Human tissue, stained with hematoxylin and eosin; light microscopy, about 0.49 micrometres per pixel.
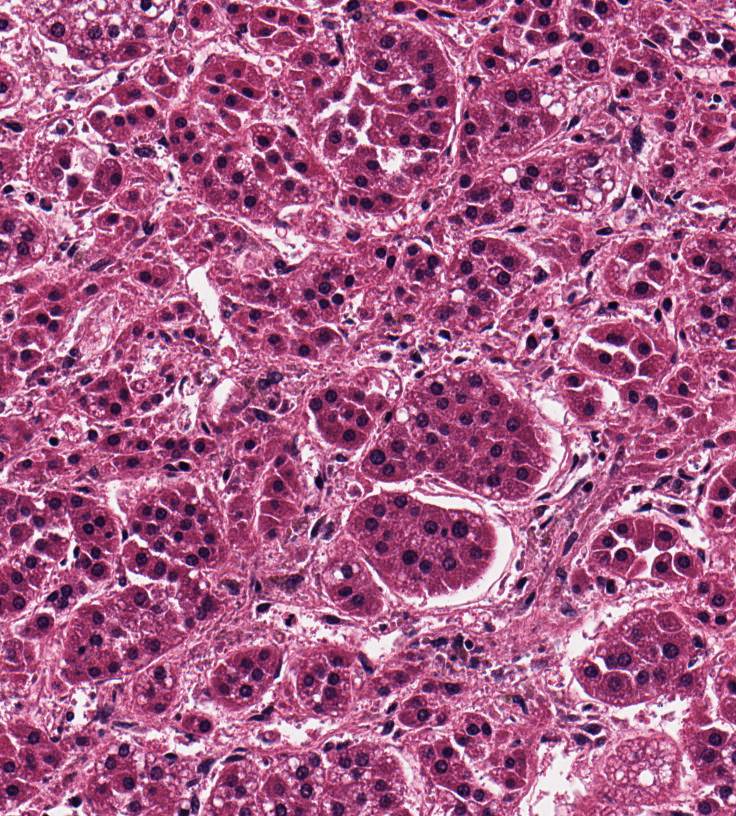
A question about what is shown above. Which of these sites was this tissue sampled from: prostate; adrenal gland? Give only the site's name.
adrenal gland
